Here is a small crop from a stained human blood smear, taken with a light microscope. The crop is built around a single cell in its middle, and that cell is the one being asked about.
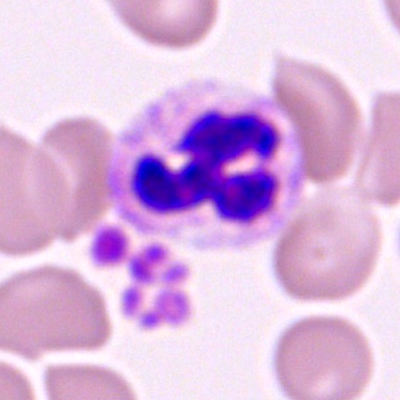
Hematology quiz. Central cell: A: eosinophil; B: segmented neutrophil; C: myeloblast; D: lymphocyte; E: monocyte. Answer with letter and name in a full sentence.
The correct option here is B; the middle cell is a segmented neutrophil.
